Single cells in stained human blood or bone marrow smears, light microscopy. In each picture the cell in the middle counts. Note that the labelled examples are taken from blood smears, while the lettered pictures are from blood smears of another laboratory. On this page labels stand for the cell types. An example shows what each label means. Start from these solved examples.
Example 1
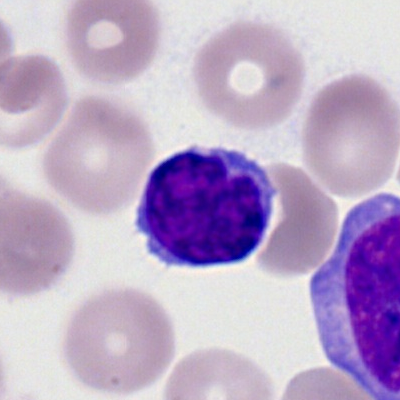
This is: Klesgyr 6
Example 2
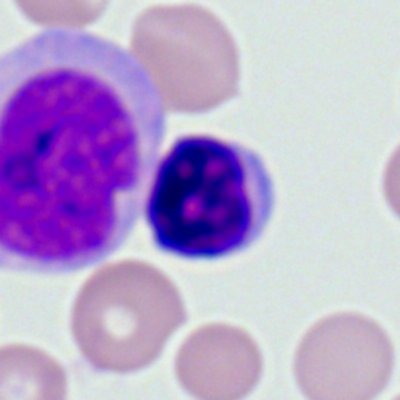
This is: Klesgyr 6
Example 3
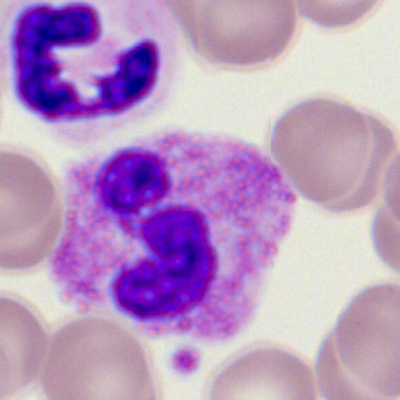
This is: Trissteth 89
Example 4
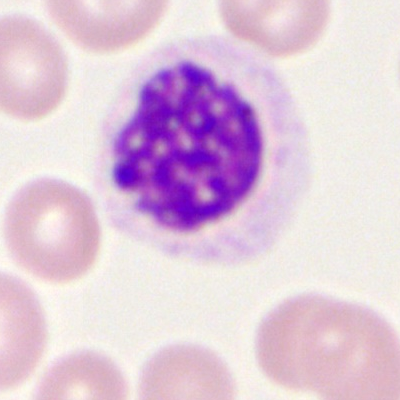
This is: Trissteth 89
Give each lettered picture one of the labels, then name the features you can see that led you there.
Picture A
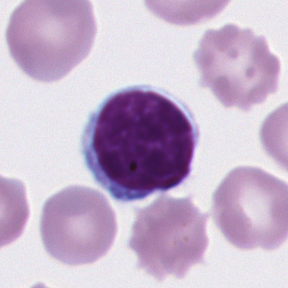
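Klesgyr 6: The cytoplasm forms only a thin rim around the nucleus.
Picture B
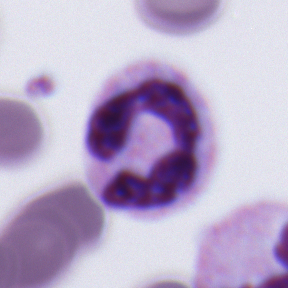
Trissteth 89: The nucleus is a thick curved band wrapped around a pale centre.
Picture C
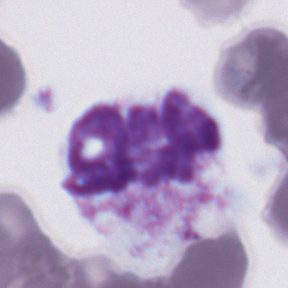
Trissteth 89: The nucleus is divided into several lobes lying side by side across the upper part of the cell.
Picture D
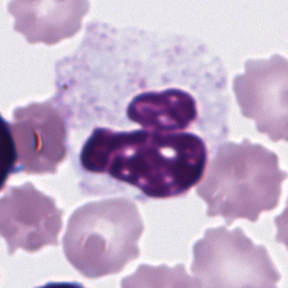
Trissteth 89: The cytoplasm is abundant and very pale lilac-grey.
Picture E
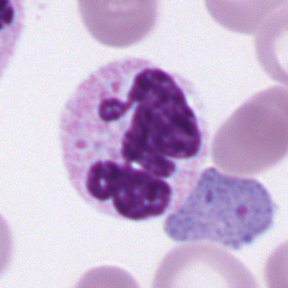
Trissteth 89: The cytoplasm is abundant and pale pink.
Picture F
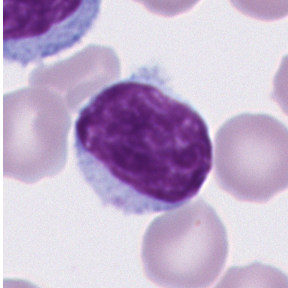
Klesgyr 6: The cytoplasm forms a narrow rim that is widest at the lower left of the nucleus.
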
